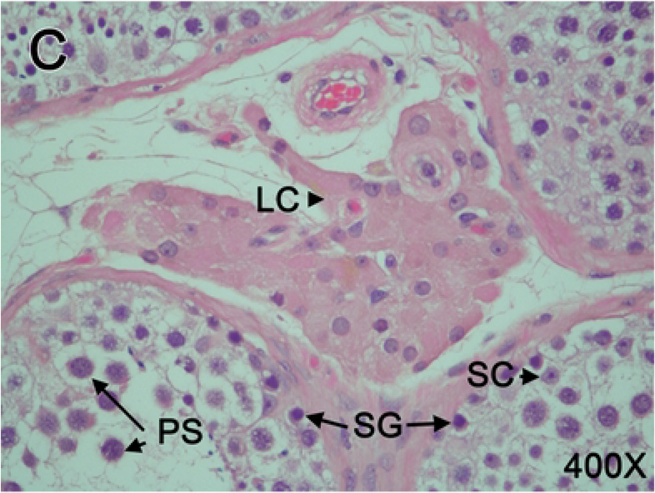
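Here an interstitial space of the testis lies between several seminiferous tubules. In its middle sits a cluster of Leydig cells: large, polygonal cells with plentiful pink cytoplasm and round nuclei, some with a visible nucleolus. A small blood vessel with red blood cells lies just above them. The tubules around are bounded by pink fibrous walls. Along the tubule wall sit spermatogonia with small, dark, round nuclei. Further in are primary spermatocytes, larger cells with big round nuclei full of coarse purple chromatin. Sertoli cells are scattered among them, recognised by paler nuclei with a prominent nucleolus.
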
